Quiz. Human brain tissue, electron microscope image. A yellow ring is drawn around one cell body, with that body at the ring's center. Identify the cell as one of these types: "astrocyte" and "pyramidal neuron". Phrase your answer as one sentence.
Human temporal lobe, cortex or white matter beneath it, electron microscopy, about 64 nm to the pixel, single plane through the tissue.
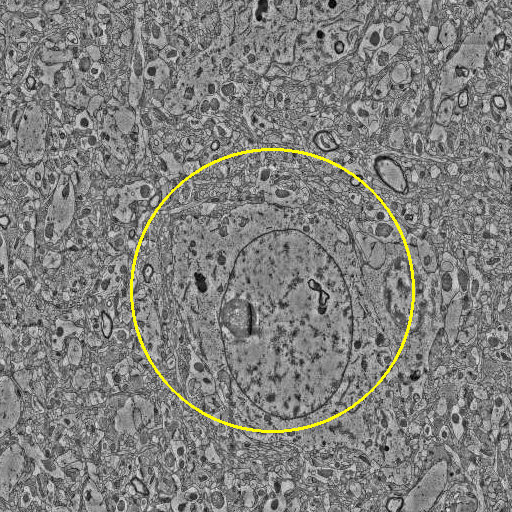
At the center of the ring sits a pyramidal neuron.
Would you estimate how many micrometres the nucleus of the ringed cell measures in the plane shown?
About 12 micrometres by about 9 micrometres in this plane.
